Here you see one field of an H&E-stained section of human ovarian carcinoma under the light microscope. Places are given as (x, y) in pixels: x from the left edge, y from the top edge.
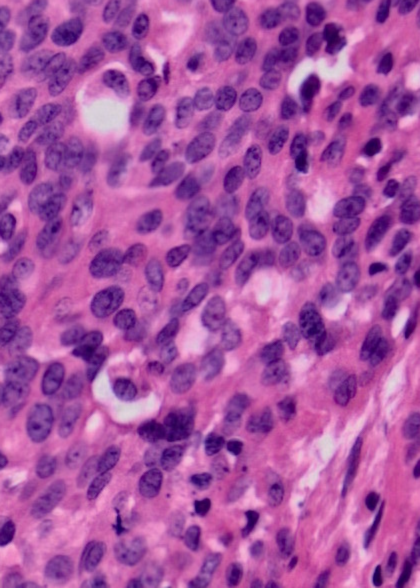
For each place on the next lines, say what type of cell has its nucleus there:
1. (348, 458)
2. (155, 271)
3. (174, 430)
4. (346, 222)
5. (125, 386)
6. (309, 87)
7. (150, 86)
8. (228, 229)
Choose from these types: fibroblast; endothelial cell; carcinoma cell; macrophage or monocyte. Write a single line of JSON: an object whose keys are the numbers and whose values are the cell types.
{"1": "fibroblast", "2": "endothelial cell", "3": "carcinoma cell", "4": "carcinoma cell", "5": "macrophage or monocyte", "6": "carcinoma cell", "7": "carcinoma cell", "8": "carcinoma cell"}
